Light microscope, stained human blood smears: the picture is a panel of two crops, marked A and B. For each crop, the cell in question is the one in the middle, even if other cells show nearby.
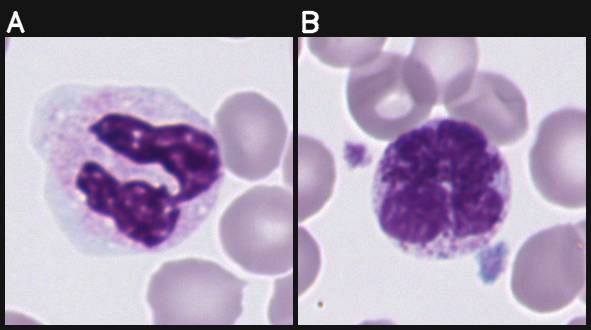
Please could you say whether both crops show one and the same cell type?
no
